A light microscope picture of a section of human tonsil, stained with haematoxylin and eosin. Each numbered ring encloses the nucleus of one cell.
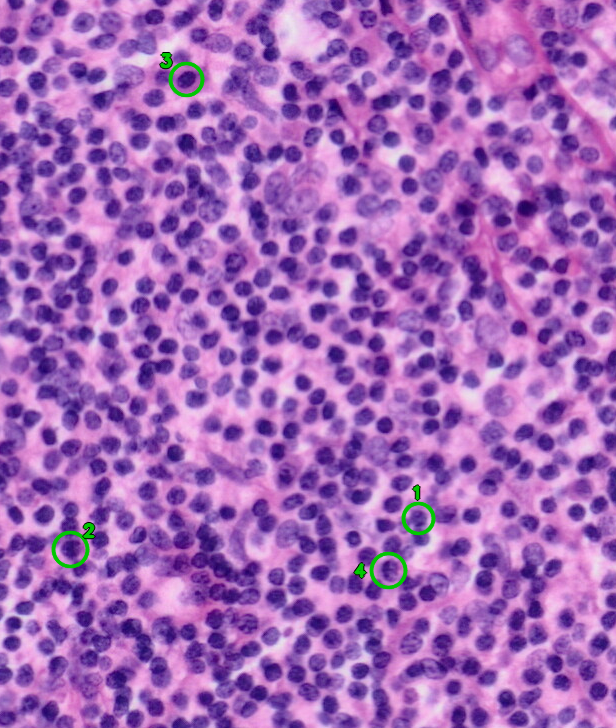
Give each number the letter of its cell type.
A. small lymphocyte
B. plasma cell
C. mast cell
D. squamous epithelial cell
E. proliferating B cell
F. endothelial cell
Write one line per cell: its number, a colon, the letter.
1: A
2: A
3: B
4: A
